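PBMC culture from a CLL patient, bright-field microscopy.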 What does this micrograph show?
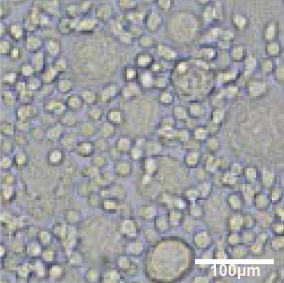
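Scattered among them are a few much larger, pale, rounded cells with smooth, faintly granular interiors, several times the diameter of the small cells; one such large round cell lies near the lower edge. The small round cells tend to crowd around and over the larger ones, so that the large cells appear partly buried within the dense layer of small cells.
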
